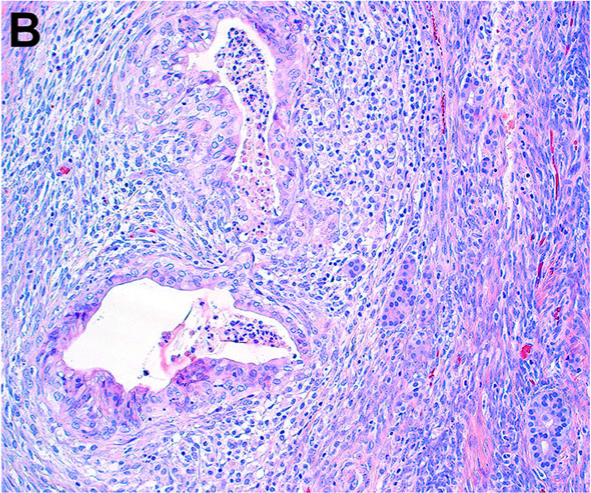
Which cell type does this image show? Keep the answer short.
Intraluminal neutrophils.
